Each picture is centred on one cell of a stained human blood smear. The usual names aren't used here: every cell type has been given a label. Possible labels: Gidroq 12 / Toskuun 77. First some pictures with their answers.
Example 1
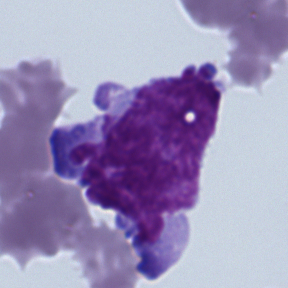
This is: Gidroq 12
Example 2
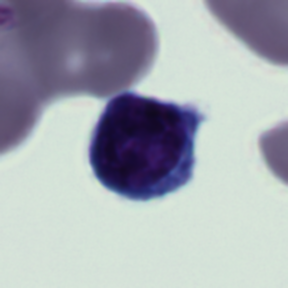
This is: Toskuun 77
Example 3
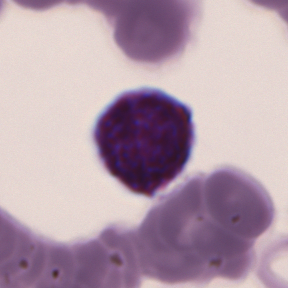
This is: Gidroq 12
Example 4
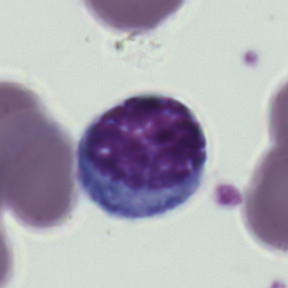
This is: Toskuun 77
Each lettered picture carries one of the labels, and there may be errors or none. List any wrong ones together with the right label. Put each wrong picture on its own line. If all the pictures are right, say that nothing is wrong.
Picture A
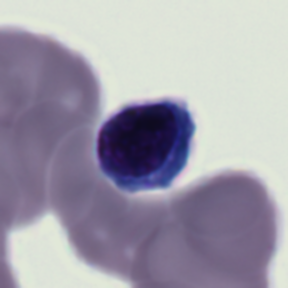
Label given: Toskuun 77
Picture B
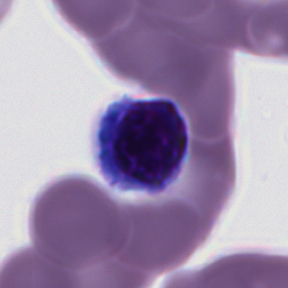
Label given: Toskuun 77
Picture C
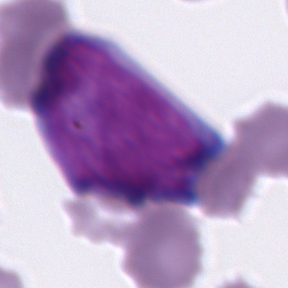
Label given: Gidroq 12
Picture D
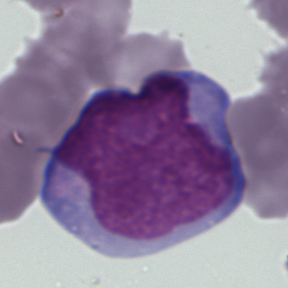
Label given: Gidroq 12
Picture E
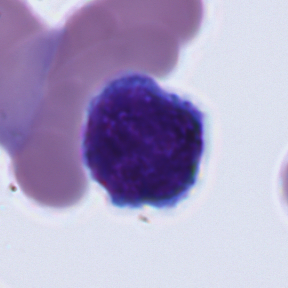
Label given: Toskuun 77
All correct.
